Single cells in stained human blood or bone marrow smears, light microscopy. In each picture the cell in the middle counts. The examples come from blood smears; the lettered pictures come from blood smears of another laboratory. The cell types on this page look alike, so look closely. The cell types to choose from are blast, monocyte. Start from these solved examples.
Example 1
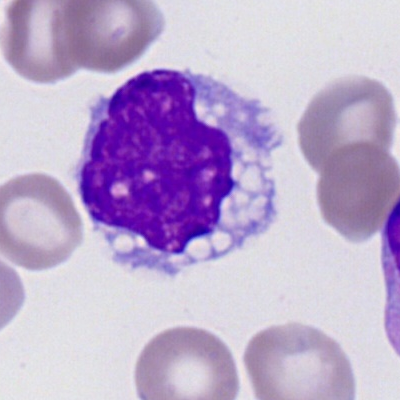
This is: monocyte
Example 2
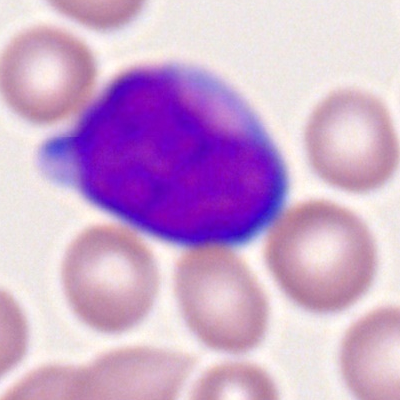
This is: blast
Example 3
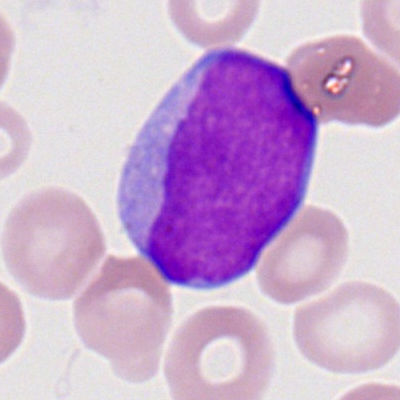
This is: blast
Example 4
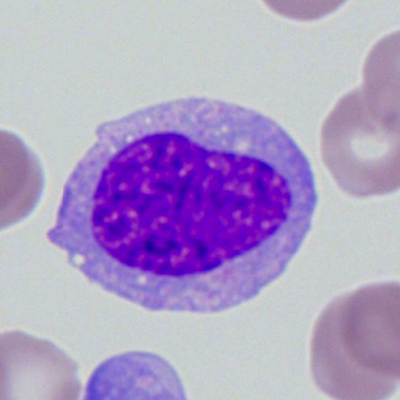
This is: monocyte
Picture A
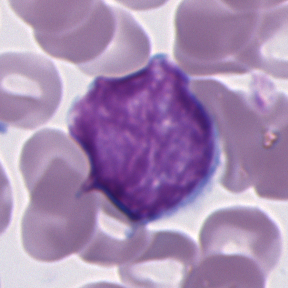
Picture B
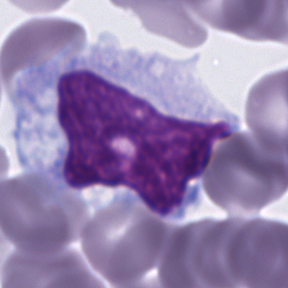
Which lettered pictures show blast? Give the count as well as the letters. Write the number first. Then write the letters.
Count: 1 (A)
